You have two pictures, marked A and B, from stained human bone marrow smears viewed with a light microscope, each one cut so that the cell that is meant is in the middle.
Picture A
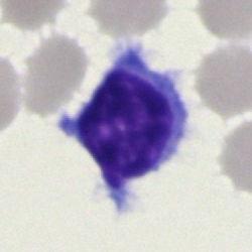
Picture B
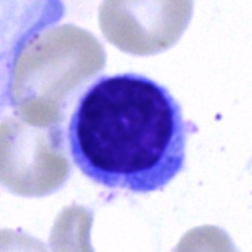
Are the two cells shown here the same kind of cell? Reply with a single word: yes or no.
yes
